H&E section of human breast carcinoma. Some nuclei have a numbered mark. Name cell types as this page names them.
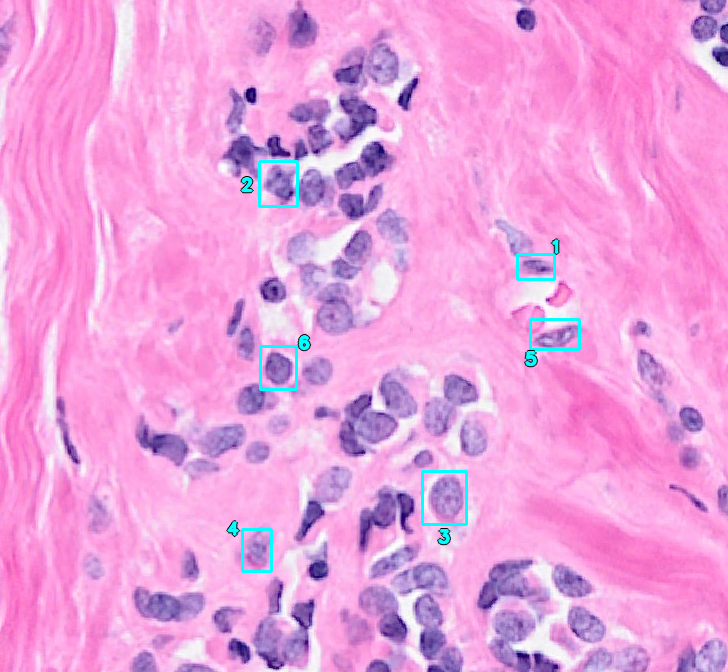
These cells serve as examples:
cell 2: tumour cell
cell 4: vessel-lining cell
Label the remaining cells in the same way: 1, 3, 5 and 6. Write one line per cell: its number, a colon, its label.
1: vessel-lining cell
3: tumour cell
5: vessel-lining cell
6: tumour cell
